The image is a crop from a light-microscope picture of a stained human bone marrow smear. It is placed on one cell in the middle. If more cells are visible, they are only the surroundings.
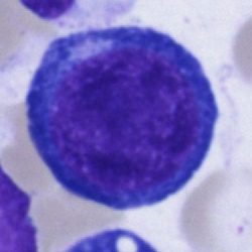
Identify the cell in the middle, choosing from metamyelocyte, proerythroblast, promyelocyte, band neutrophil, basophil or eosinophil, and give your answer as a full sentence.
The cell featured at the centre of this crop is a proerythroblast.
